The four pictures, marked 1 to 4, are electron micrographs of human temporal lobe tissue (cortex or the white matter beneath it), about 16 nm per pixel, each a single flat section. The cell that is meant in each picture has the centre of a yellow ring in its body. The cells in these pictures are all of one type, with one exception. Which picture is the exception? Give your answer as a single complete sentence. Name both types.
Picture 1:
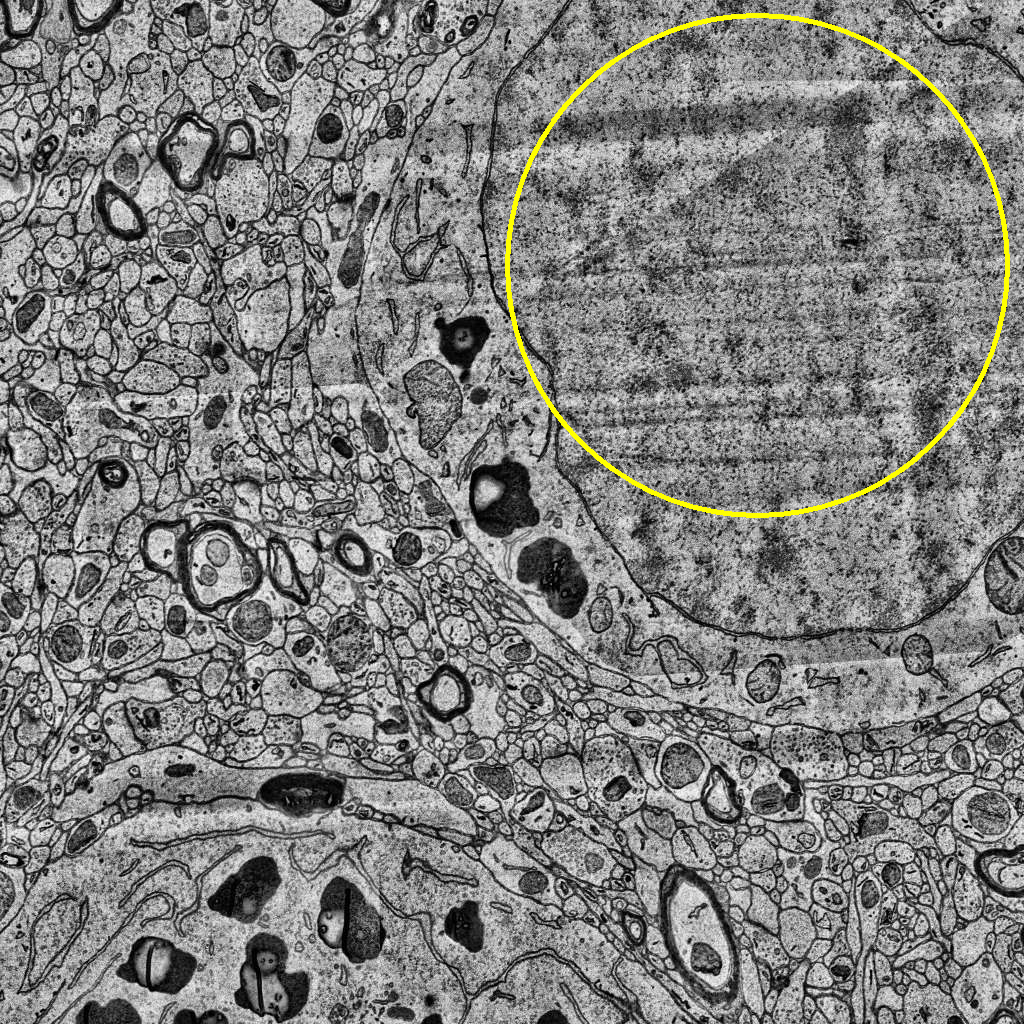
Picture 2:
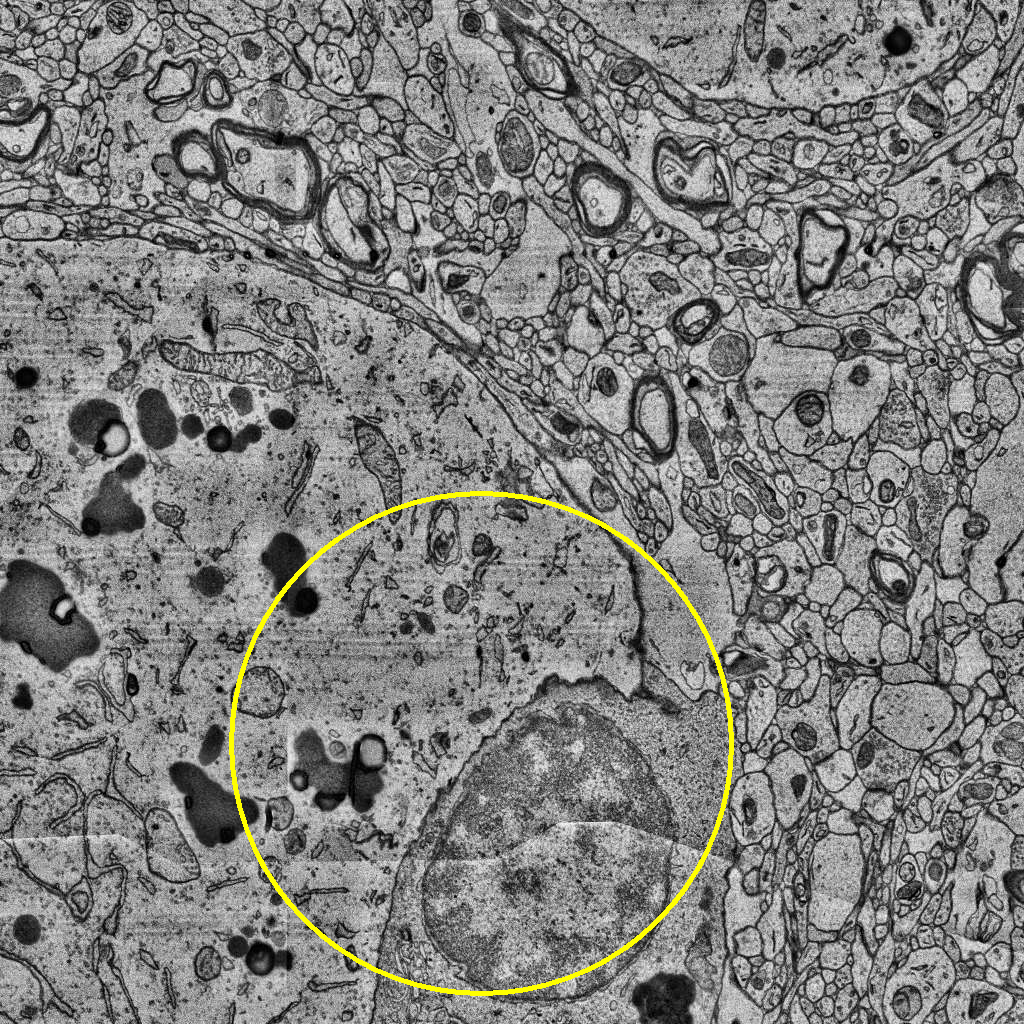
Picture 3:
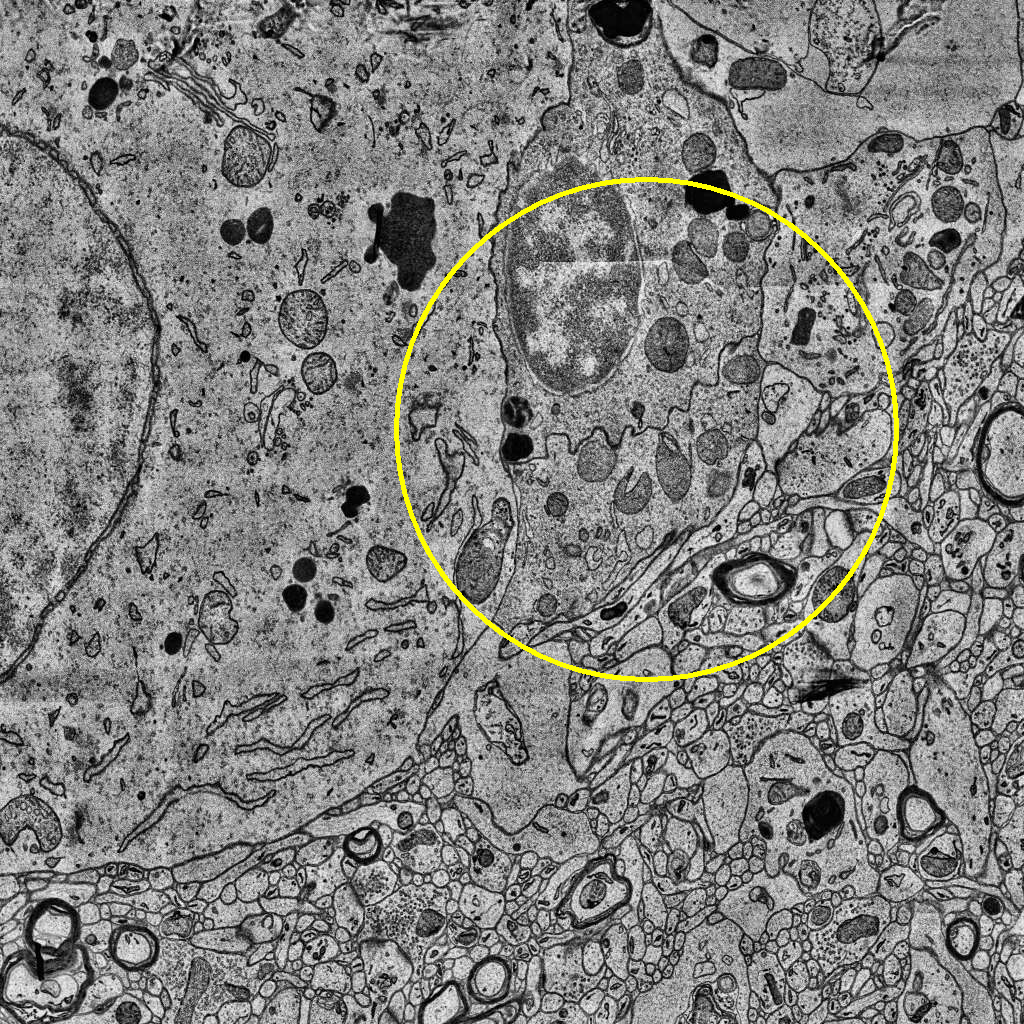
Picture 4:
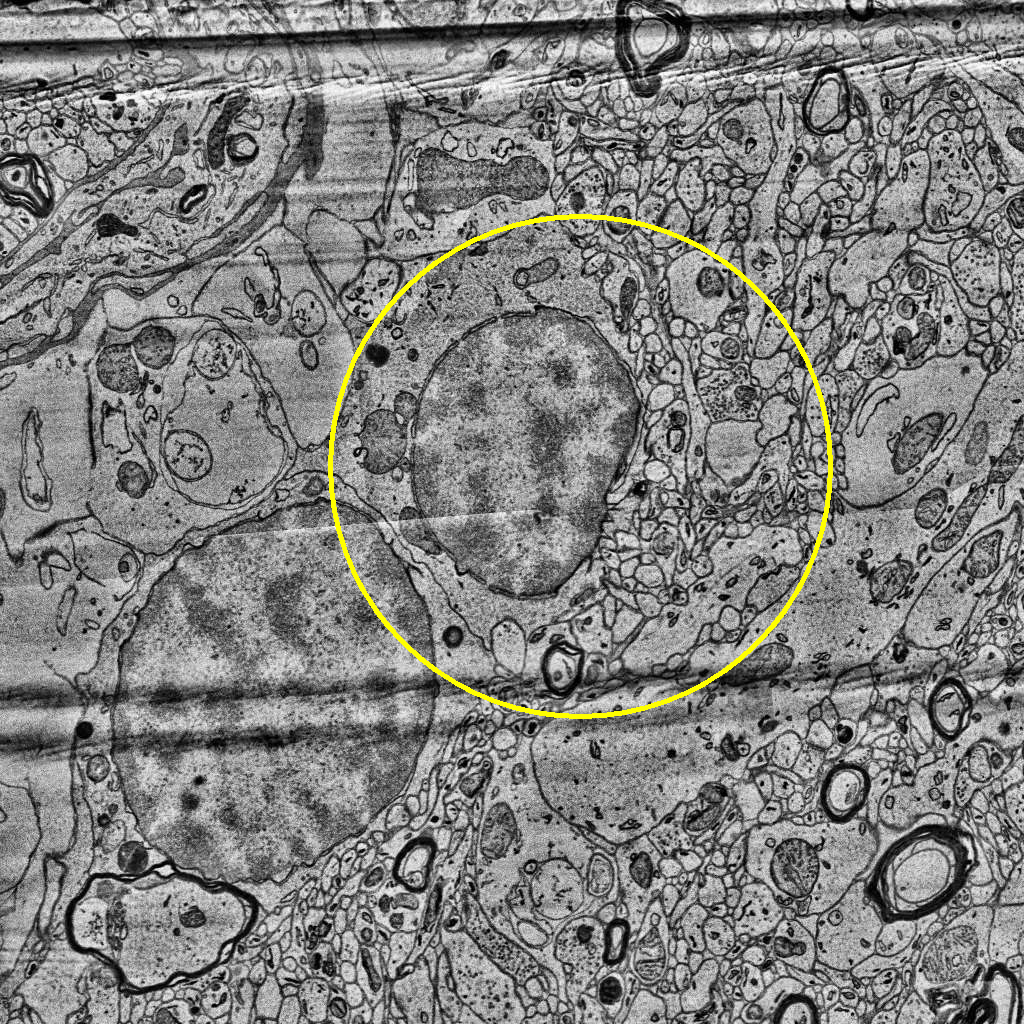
The different one is picture 1; it shows a pyramidal neuron, whereas all the others show oligodendrocytes.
